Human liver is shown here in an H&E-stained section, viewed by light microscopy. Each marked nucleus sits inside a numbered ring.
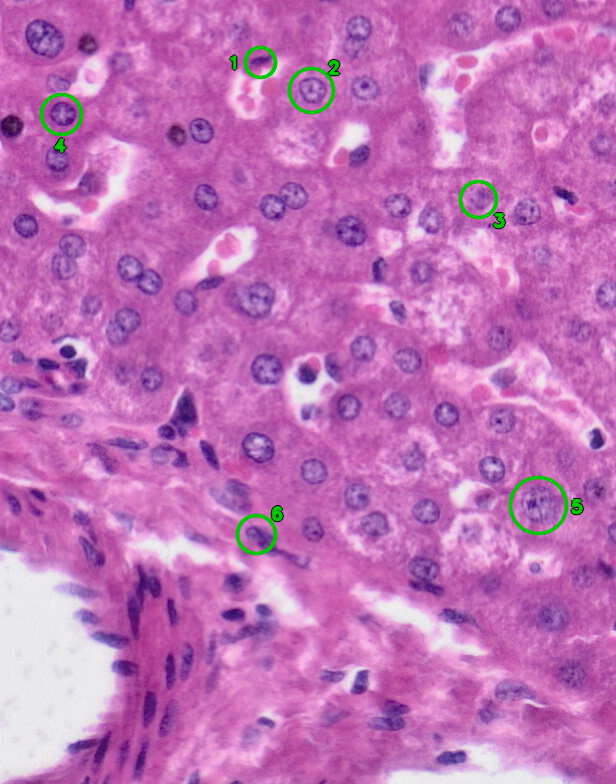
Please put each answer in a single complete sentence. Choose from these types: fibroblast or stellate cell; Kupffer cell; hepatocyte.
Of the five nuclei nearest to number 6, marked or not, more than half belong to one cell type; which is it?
Of the five nuclei nearest to number 6, most belong to fibroblasts or stellate cells.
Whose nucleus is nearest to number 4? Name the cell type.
The nearest nucleus to number 4 belongs to a Kupffer cell.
